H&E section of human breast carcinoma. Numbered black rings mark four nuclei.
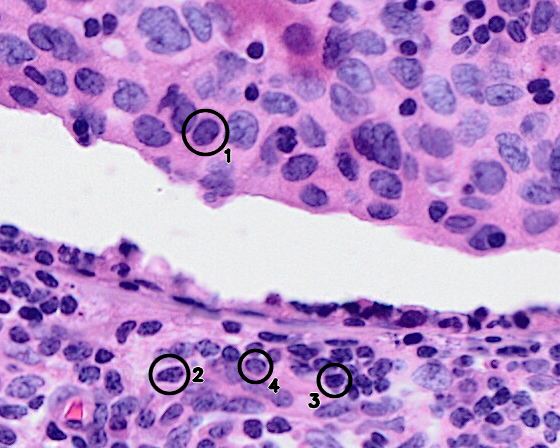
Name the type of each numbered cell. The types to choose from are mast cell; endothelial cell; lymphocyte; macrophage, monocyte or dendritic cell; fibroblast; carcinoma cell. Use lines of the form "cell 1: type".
cell 1: carcinoma cell
cell 2: lymphocyte
cell 3: lymphocyte
cell 4: lymphocyte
